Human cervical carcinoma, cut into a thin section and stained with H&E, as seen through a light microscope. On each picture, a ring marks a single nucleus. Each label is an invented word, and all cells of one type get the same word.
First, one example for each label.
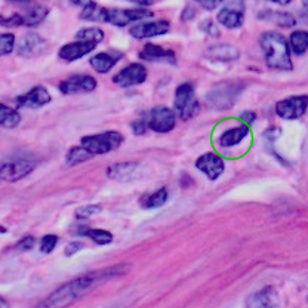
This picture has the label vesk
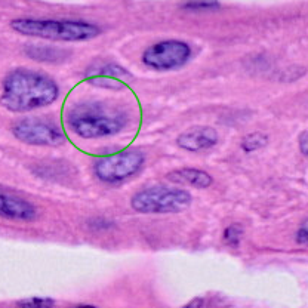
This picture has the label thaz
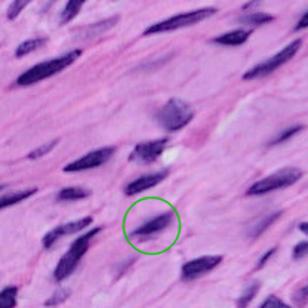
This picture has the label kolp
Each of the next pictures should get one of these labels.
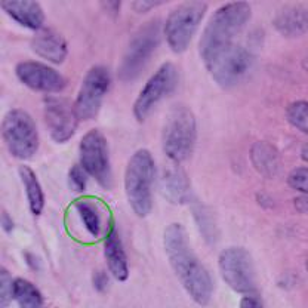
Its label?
kolp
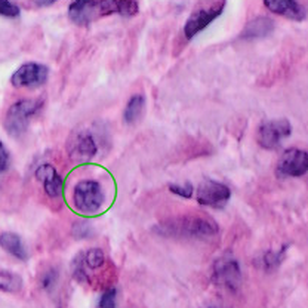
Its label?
vesk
